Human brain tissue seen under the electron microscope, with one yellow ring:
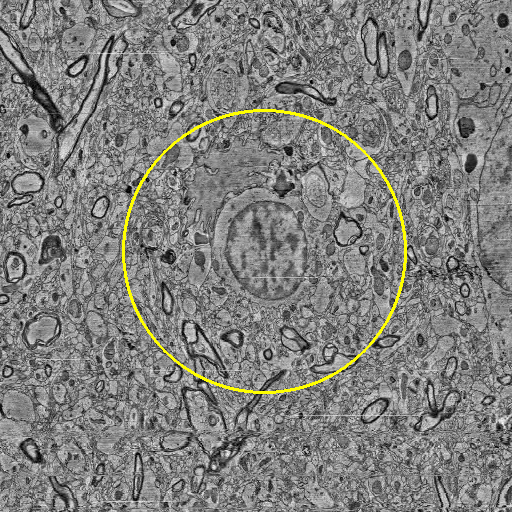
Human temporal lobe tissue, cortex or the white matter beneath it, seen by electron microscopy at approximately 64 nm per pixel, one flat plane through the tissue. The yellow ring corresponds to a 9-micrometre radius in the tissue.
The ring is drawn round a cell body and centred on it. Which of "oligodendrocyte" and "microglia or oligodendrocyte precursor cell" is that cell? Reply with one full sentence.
The picture shows an oligodendrocyte at the very centre of the yellow ring.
